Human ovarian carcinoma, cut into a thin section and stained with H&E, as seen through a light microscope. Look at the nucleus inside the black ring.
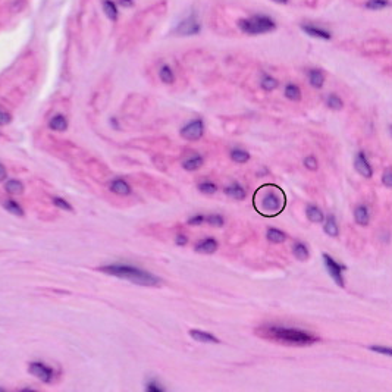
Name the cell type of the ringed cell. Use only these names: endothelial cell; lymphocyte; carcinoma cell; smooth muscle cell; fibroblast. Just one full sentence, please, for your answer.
As classified here, the ringed cell is a smooth muscle cell.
